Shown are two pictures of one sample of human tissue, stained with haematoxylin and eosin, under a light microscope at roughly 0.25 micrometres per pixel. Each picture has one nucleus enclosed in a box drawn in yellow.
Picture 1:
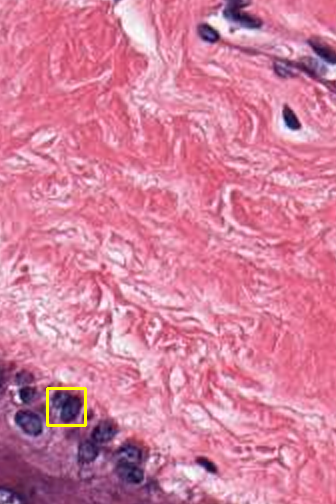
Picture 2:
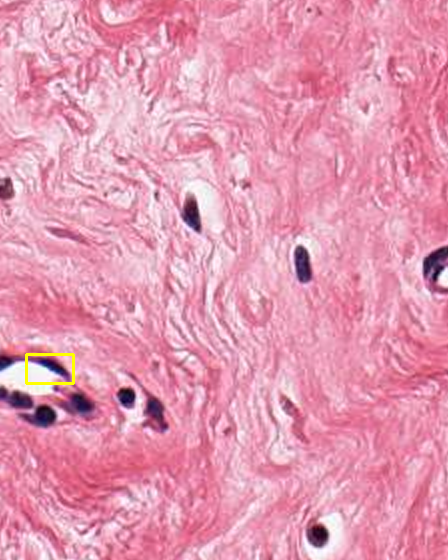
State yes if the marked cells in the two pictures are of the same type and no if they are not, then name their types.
No, the first is a squamous epithelial cell and the second an endothelial cell.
